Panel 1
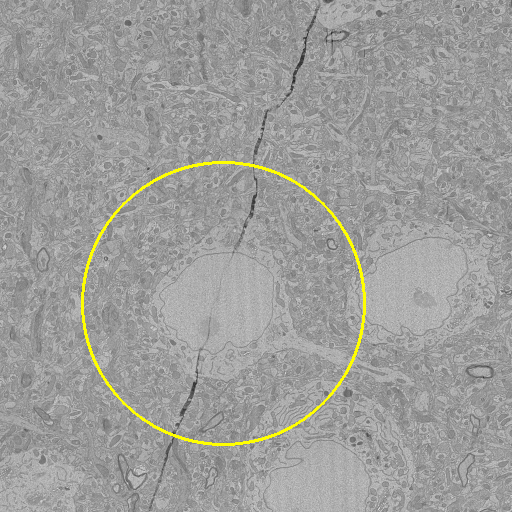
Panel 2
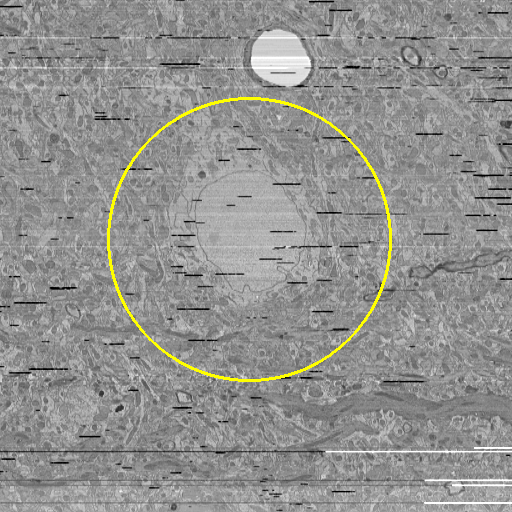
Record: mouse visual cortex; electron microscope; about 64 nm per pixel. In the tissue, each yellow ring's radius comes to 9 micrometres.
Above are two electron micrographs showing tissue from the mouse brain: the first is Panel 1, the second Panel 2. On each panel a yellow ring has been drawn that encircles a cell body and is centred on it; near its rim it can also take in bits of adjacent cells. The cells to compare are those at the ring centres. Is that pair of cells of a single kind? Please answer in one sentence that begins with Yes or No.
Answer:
Yes, the ring-centred cells of Panel 1 and Panel 2 belong to one kind.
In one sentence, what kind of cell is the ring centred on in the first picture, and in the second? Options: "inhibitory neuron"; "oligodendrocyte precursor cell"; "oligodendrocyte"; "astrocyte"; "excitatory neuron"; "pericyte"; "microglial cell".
The ring centre holds an excitatory neuron in each of the two pictures.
